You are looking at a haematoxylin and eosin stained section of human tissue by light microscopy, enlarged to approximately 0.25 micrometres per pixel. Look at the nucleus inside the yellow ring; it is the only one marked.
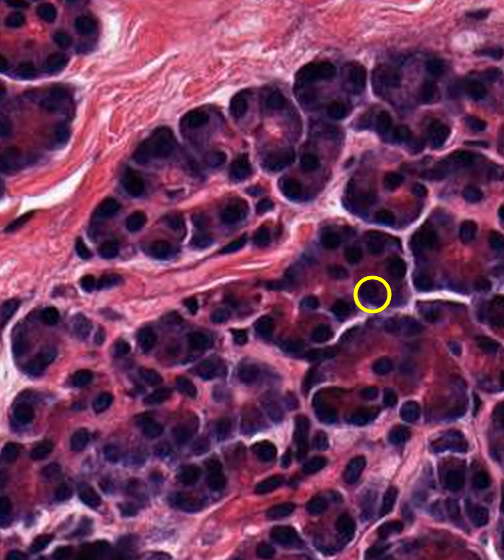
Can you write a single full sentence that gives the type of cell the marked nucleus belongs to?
The marked nucleus is seen to belong to a pancreatic acinar cell.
